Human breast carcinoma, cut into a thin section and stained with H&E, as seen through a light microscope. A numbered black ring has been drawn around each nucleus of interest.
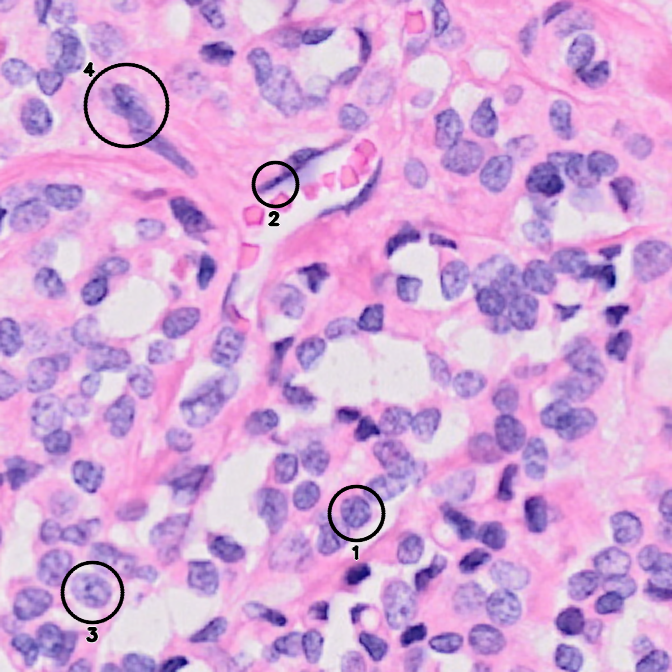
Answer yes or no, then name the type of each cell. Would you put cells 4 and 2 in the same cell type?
Yes, cells 4 and 2 are of one type, both being endothelial cells.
